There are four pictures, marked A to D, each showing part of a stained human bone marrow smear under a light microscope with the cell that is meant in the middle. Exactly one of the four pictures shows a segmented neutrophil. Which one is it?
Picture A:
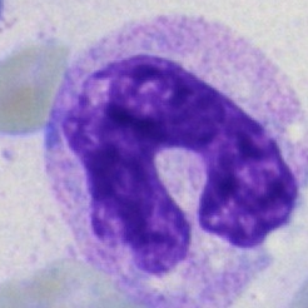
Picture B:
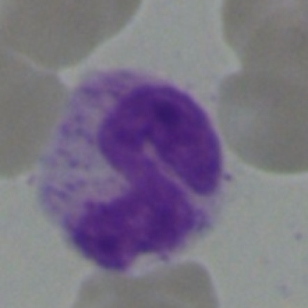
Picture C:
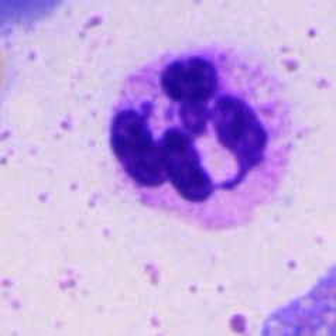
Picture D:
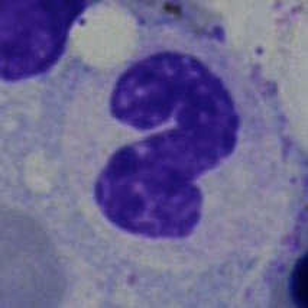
C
